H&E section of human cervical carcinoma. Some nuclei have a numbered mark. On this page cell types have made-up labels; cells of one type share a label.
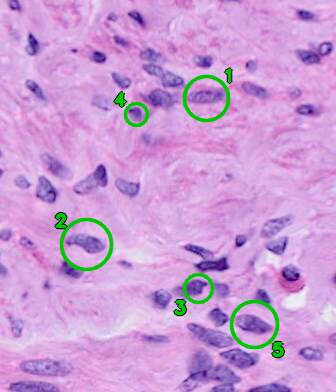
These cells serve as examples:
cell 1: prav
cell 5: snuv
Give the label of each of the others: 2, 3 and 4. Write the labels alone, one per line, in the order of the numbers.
snuv
snuv
prav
